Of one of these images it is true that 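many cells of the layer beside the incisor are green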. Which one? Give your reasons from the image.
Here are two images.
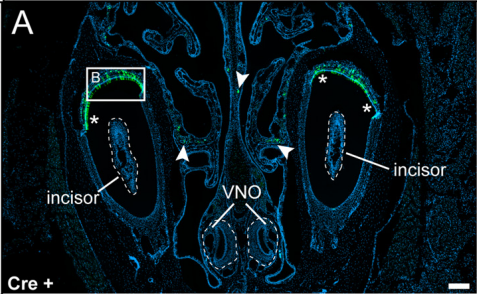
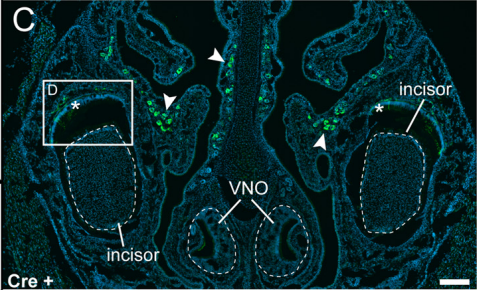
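Second image: the layer beside each incisor shows only faint, sparse green. First image: a bright continuous green band curves along the layer beside each incisor. On this evidence: the first image.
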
